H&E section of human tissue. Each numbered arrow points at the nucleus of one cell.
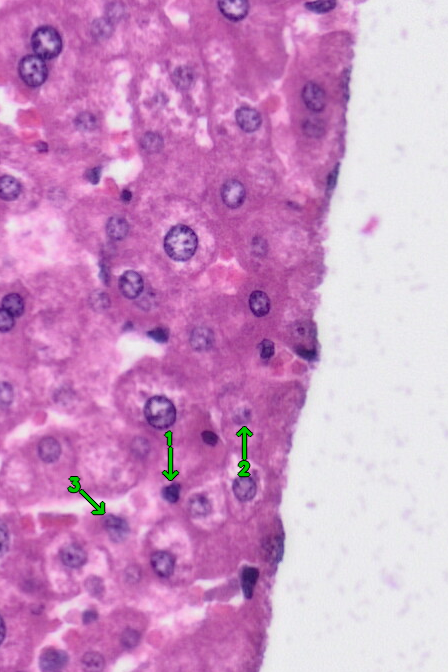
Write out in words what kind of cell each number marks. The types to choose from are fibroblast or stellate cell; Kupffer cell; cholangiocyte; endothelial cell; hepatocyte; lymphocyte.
Cell 1 is a fibroblast or stellate cell. Cell 2 is a hepatocyte. Cell 3 is a Kupffer cell.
